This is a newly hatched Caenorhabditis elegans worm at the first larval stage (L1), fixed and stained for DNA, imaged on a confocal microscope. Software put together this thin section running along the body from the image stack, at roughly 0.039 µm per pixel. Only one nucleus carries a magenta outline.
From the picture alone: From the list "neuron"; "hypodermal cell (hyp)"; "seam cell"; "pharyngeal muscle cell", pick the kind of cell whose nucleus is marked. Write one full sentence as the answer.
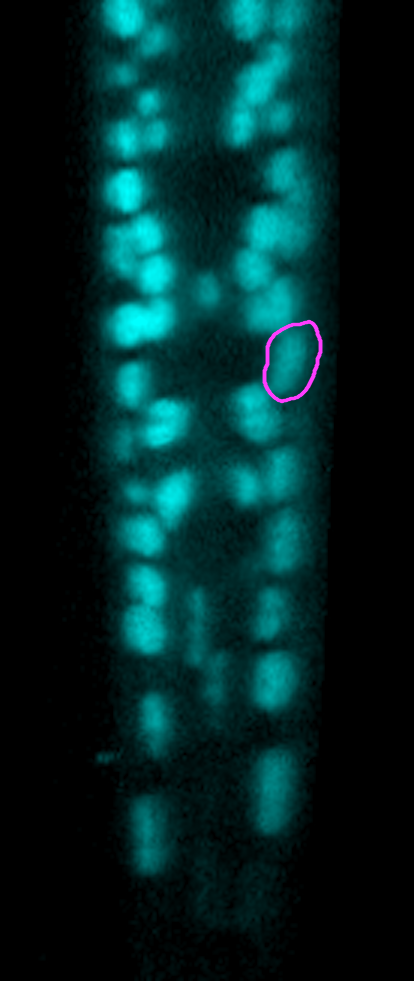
This is the nucleus of a neuron.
